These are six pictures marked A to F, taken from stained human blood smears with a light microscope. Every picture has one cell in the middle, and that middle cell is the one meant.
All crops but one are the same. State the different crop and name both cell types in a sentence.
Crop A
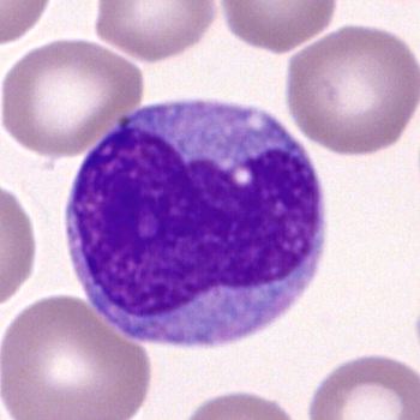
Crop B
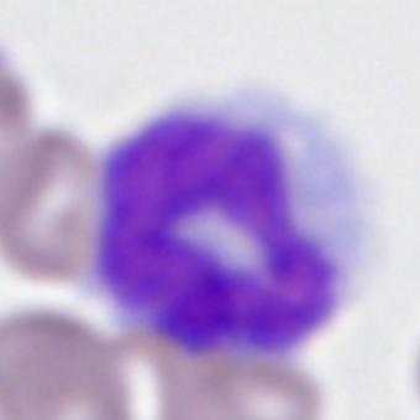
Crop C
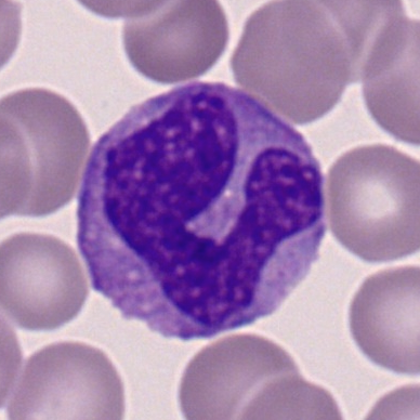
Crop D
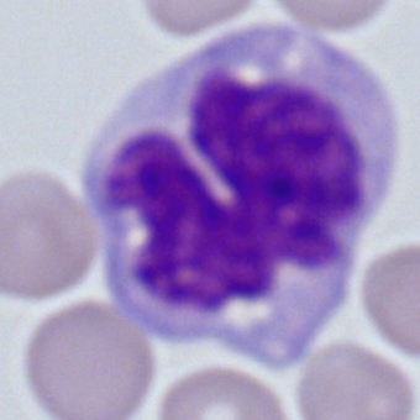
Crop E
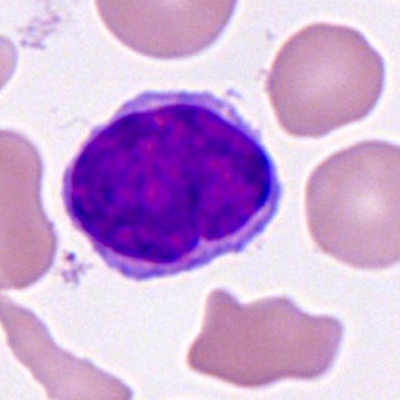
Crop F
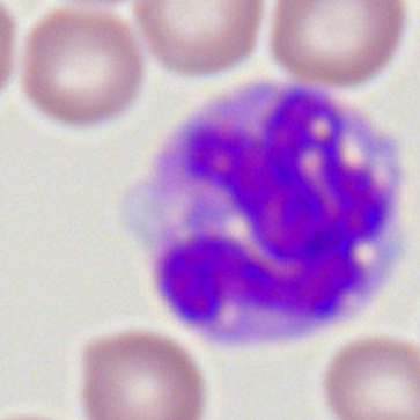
In crop E the central cell is a lymphocyte, whereas the other crops all contain monocytes.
